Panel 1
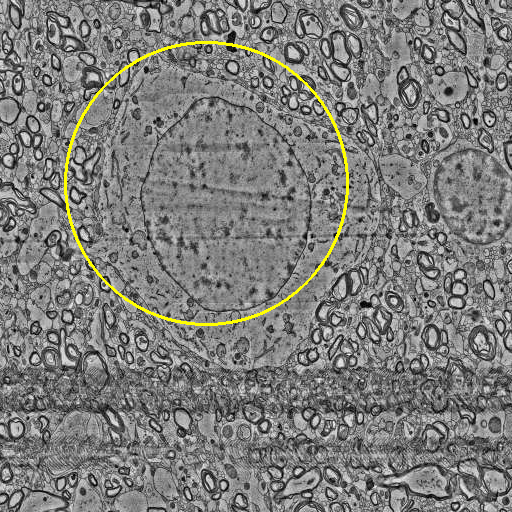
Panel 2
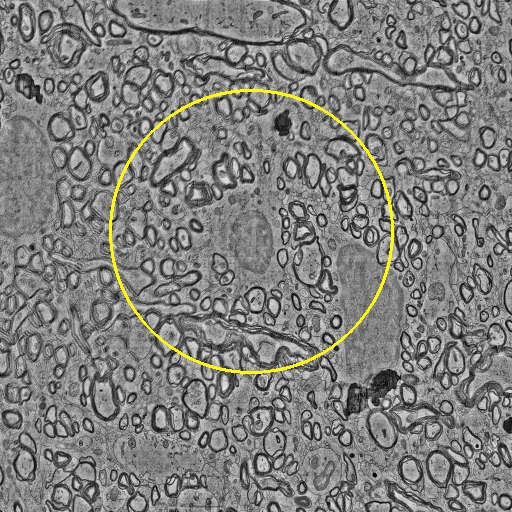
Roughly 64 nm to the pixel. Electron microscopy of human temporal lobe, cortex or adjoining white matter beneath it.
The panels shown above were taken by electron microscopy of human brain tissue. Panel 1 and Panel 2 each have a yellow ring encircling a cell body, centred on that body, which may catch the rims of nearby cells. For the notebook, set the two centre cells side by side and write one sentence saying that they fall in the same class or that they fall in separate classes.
The centred cells of Panel 1 and Panel 2 fall in separate classes.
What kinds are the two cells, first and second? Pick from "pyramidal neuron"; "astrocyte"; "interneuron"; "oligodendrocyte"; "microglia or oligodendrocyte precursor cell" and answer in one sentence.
The second picture holds an oligodendrocyte in its ring, and the first holds a pyramidal neuron.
